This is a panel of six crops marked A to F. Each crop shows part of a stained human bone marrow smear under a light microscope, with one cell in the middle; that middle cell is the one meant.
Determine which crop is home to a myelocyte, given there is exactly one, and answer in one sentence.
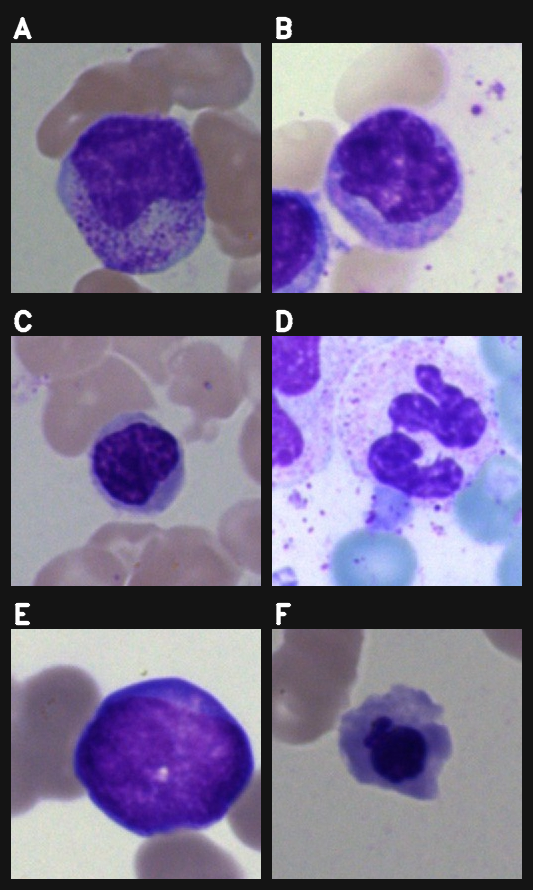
Crop A is where a myelocyte is shown.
